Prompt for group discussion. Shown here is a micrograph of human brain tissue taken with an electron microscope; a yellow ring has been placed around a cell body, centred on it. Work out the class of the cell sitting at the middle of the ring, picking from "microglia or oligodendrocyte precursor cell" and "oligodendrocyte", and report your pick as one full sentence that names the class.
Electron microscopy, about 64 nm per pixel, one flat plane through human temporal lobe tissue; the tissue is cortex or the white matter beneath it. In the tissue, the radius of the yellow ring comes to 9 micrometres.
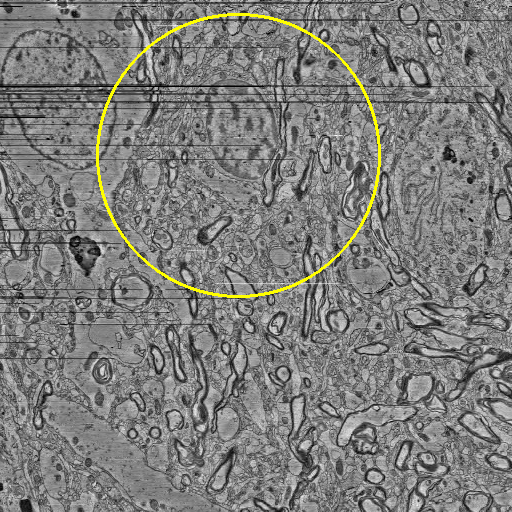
The cell sitting at the middle of the yellow ring is an oligodendrocyte.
